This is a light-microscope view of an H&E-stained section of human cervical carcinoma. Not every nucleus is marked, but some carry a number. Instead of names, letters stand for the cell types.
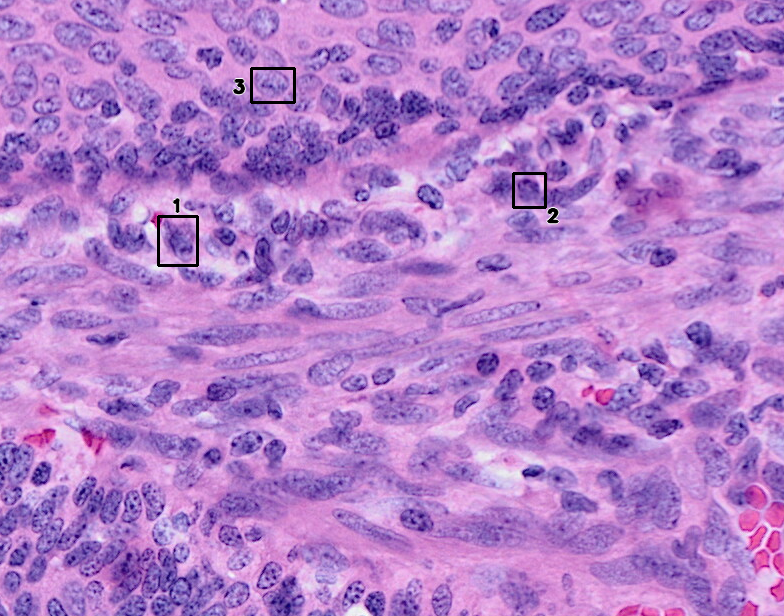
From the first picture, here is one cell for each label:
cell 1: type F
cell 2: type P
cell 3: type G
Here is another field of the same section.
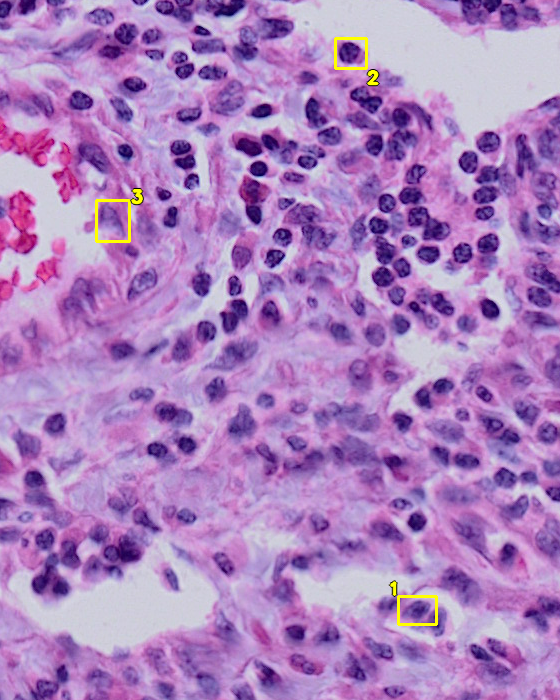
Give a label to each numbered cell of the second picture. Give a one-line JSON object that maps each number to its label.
{"1": "type P", "2": "type P", "3": "type F"}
